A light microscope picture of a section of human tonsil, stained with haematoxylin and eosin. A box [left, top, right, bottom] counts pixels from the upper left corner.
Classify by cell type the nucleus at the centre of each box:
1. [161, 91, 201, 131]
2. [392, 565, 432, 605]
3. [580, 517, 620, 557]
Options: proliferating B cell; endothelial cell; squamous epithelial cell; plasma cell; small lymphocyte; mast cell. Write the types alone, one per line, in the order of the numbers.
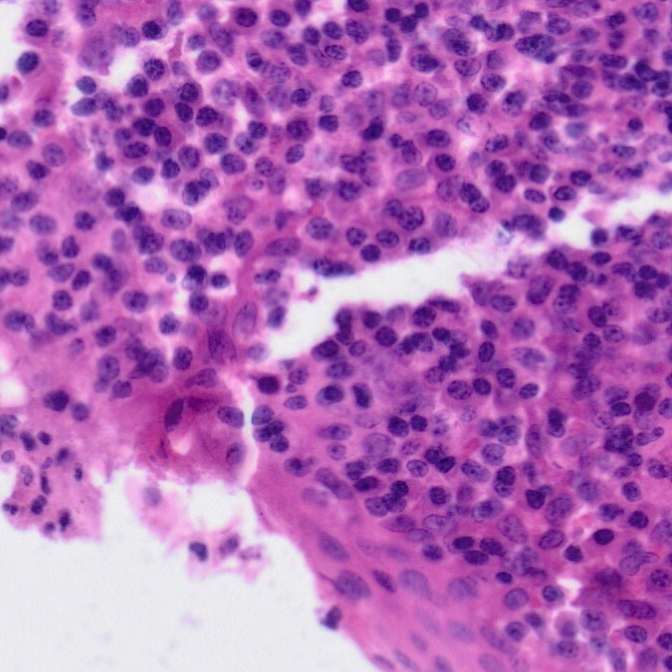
plasma cell
squamous epithelial cell
plasma cell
